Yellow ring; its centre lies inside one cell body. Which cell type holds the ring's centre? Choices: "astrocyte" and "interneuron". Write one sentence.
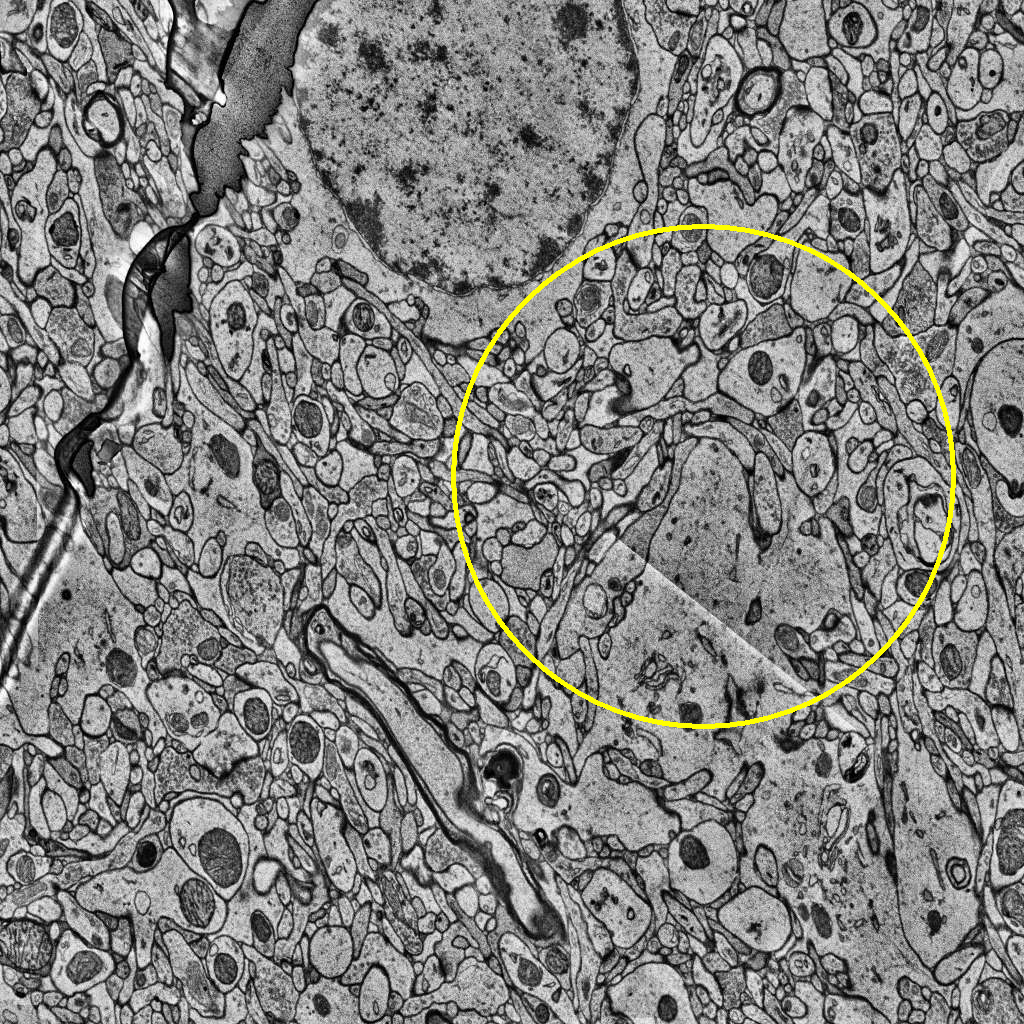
At the centre of the ring sits an astrocyte.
